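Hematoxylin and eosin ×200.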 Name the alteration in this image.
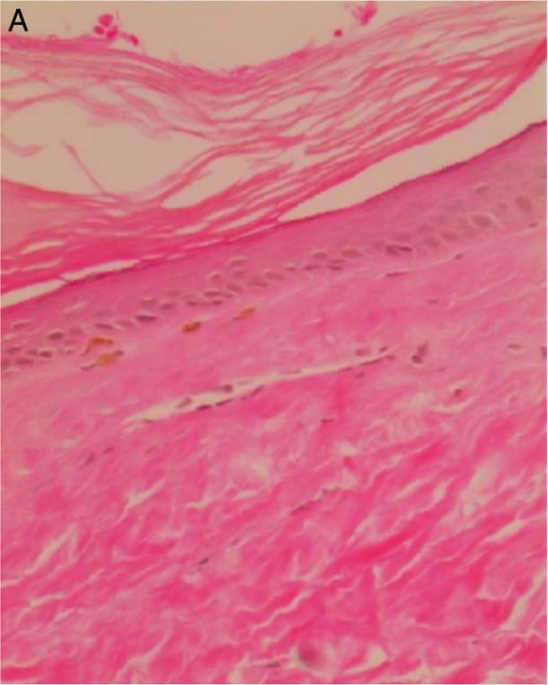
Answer: epidermal atrophy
